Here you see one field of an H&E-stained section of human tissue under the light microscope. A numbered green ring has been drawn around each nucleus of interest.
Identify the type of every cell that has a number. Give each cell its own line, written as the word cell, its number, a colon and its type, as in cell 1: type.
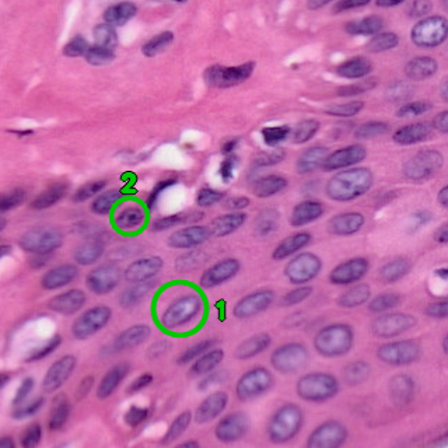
cell 1: suprabasal keratinocyte
cell 2: basal keratinocyte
